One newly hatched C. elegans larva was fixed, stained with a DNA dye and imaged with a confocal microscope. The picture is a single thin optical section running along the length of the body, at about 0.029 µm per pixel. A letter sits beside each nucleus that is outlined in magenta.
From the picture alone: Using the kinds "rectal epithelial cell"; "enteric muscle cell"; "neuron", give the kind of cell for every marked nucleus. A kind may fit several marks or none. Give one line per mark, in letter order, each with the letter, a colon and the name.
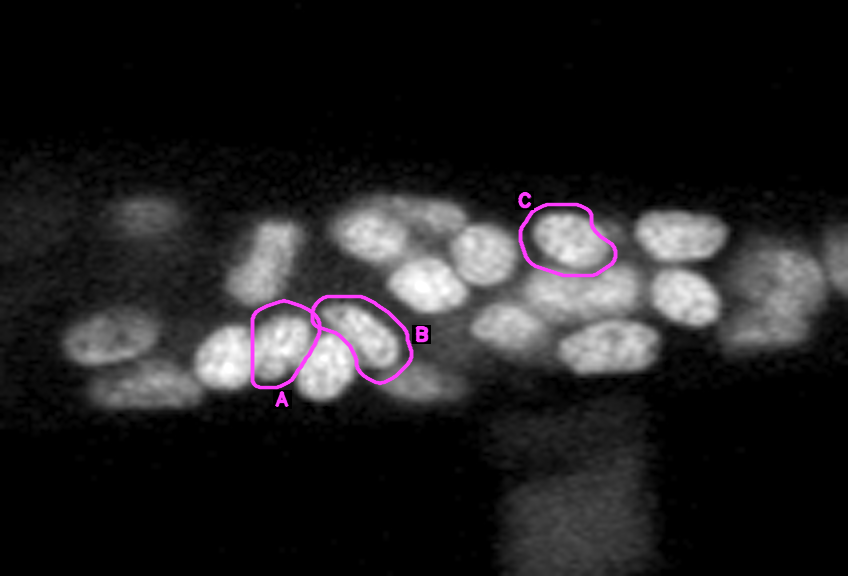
A: neuron
B: rectal epithelial cell
C: enteric muscle cell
